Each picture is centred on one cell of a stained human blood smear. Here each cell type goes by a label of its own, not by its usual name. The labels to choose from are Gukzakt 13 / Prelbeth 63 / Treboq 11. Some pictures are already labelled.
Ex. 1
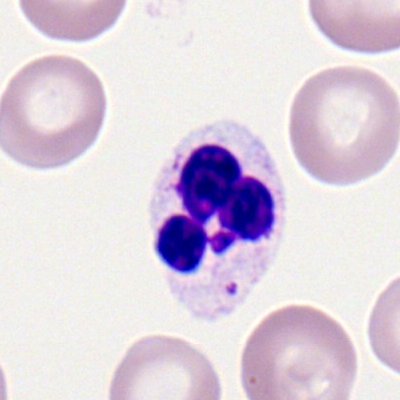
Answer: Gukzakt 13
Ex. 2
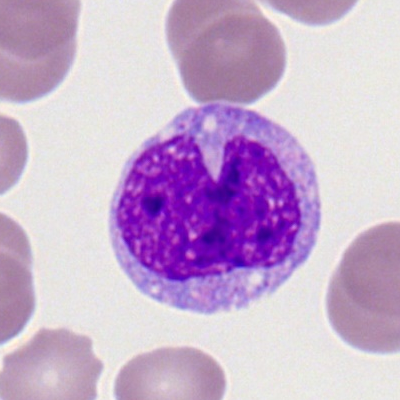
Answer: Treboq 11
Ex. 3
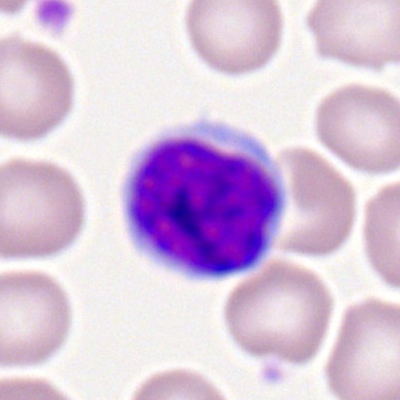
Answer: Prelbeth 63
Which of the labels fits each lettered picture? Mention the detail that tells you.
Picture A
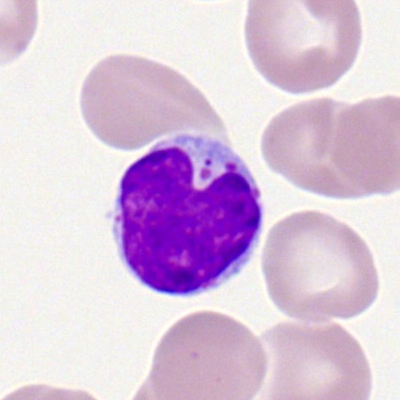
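Prelbeth 63. Evidence: The nucleus fills most of the cell.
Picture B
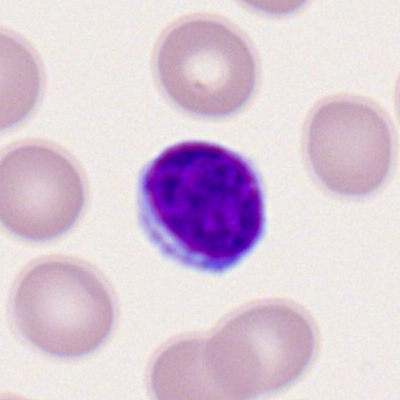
Prelbeth 63. Evidence: The nucleus fills most of the cell.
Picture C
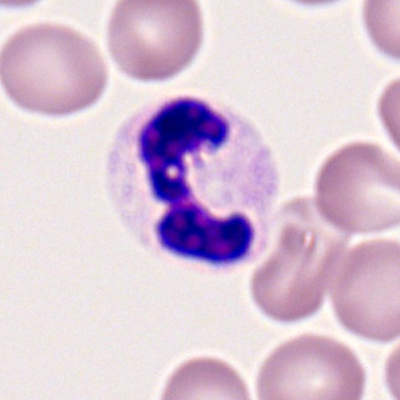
Gukzakt 13. Evidence: The nucleus is a single curved band shaped like a C, open toward the right.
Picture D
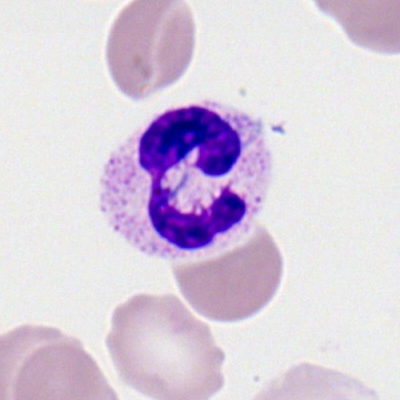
Gukzakt 13. Evidence: The nucleus is a single unbroken curved band shaped like the letter C.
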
